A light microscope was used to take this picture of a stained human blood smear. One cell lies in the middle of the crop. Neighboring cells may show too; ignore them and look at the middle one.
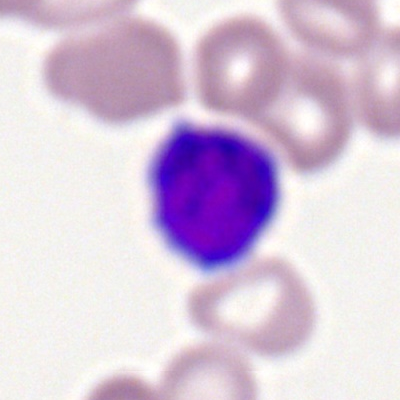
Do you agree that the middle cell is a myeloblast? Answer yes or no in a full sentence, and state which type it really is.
No, the middle cell is actually a lymphocyte rather than a myeloblast.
